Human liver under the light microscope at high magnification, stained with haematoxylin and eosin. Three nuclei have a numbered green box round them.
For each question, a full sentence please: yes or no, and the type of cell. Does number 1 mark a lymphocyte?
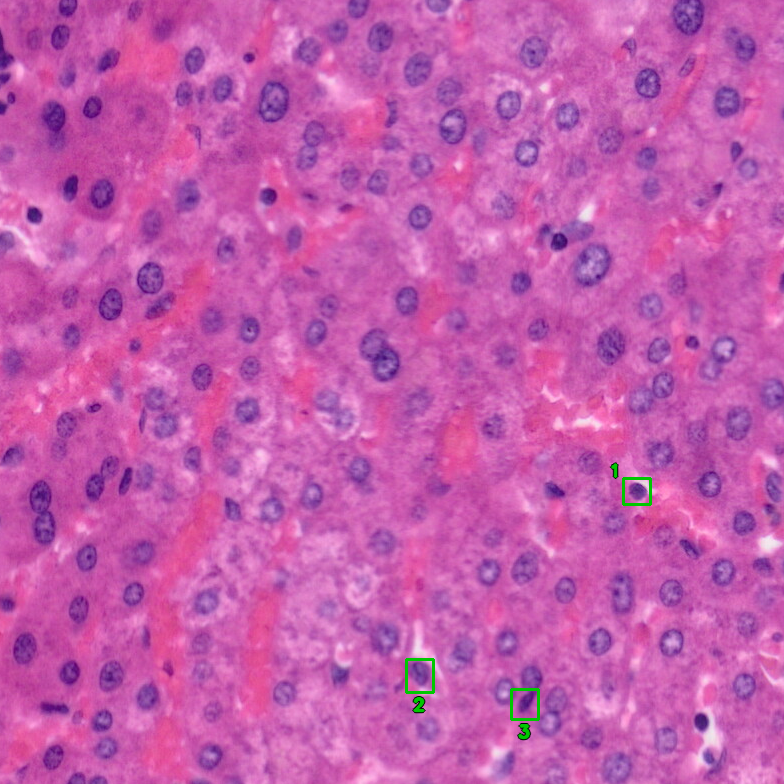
Yes, and to answer plainly, cell 1 is a lymphocyte.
